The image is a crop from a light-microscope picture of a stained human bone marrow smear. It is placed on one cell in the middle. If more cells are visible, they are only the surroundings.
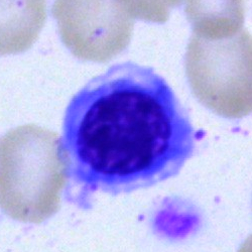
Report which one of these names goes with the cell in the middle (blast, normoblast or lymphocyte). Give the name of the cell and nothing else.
normoblast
